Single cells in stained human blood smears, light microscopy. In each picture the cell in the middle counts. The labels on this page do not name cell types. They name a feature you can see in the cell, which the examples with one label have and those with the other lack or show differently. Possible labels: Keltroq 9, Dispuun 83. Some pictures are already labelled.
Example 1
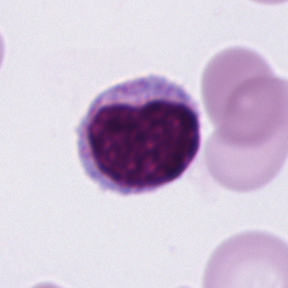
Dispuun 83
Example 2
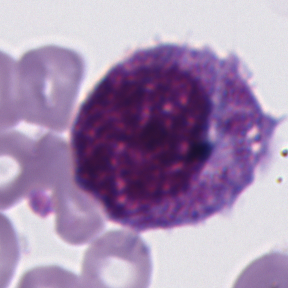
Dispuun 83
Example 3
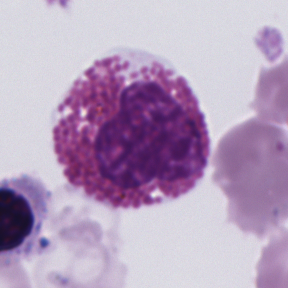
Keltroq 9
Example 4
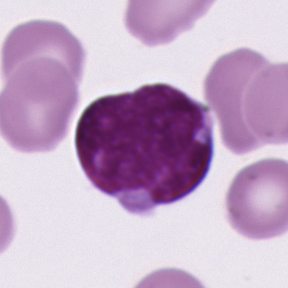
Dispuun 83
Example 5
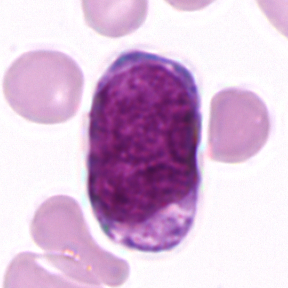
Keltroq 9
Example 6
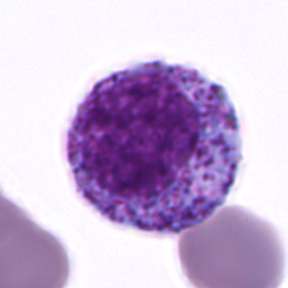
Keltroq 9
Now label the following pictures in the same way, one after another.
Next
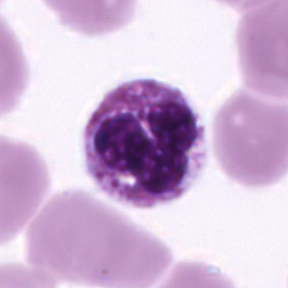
Keltroq 9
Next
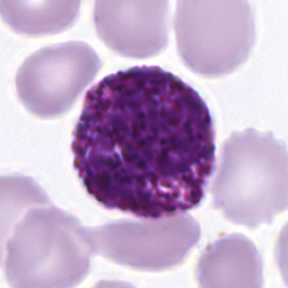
Keltroq 9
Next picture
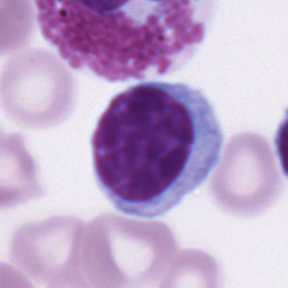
Keltroq 9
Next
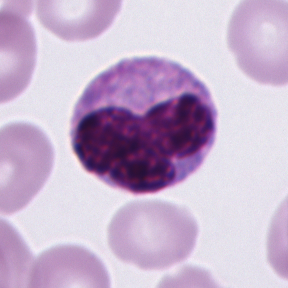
Keltroq 9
